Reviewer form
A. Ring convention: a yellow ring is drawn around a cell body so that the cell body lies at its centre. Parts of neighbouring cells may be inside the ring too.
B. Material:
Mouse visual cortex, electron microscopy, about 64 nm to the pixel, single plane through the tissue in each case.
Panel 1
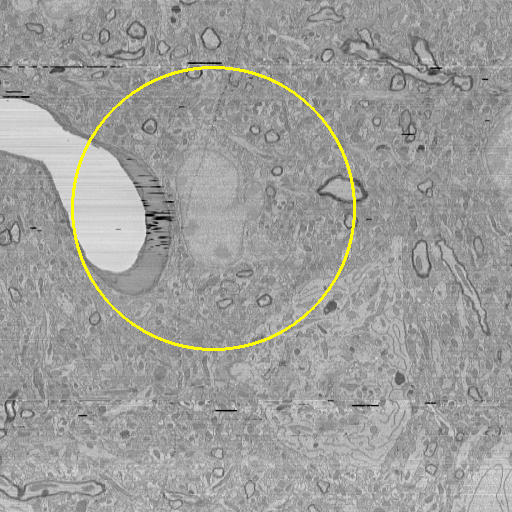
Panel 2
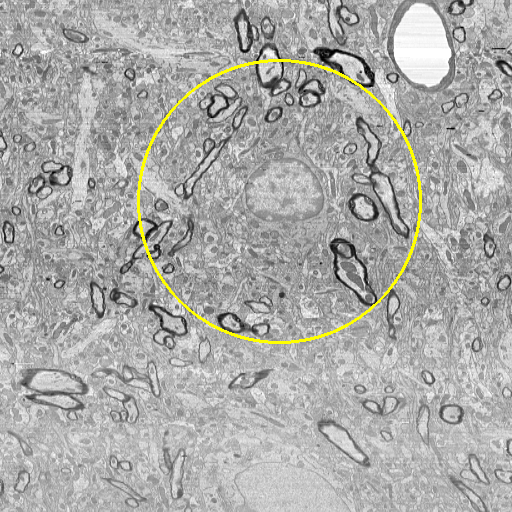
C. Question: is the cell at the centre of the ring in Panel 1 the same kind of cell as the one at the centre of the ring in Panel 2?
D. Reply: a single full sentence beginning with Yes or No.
No, the cells in Panel 1 and Panel 2 are two kinds of cell.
